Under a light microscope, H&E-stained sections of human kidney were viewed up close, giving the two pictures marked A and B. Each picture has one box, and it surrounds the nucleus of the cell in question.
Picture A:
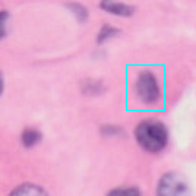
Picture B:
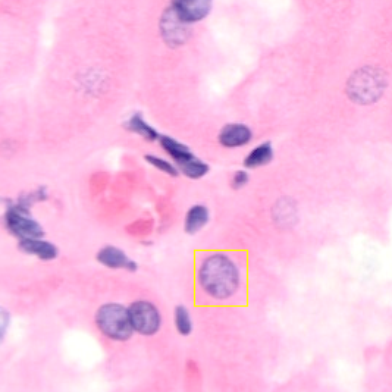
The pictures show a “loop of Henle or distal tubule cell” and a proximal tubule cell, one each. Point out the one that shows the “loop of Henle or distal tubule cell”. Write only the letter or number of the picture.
A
